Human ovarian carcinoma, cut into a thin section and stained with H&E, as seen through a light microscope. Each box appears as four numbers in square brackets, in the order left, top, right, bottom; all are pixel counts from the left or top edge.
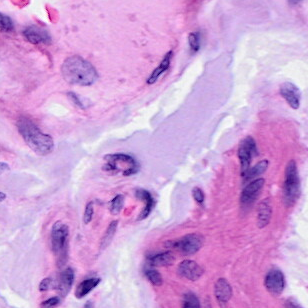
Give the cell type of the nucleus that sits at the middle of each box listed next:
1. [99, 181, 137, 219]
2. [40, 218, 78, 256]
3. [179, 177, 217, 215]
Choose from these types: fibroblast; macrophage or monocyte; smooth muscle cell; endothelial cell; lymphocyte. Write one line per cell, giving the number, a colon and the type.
1: endothelial cell
2: endothelial cell
3: smooth muscle cell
